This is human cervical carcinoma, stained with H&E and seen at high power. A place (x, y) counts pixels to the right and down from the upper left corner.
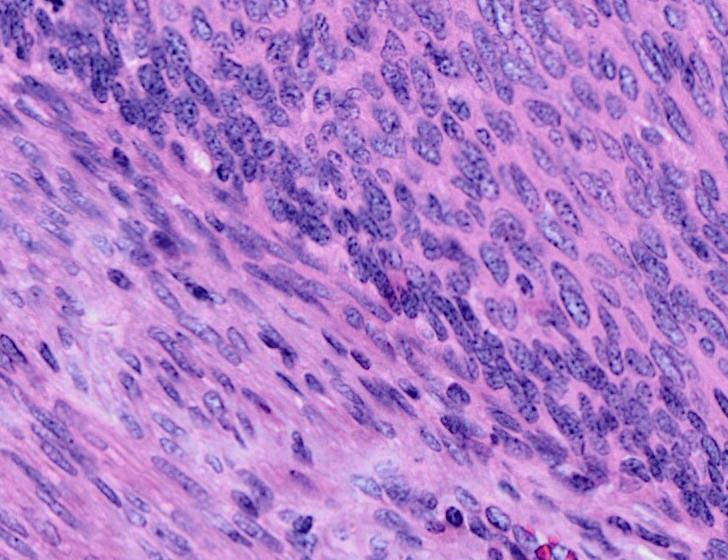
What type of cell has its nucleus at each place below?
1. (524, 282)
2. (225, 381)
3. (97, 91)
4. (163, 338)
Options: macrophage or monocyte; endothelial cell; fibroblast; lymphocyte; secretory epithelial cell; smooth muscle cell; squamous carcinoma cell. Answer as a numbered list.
1. squamous carcinoma cell
2. smooth muscle cell
3. squamous carcinoma cell
4. smooth muscle cell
